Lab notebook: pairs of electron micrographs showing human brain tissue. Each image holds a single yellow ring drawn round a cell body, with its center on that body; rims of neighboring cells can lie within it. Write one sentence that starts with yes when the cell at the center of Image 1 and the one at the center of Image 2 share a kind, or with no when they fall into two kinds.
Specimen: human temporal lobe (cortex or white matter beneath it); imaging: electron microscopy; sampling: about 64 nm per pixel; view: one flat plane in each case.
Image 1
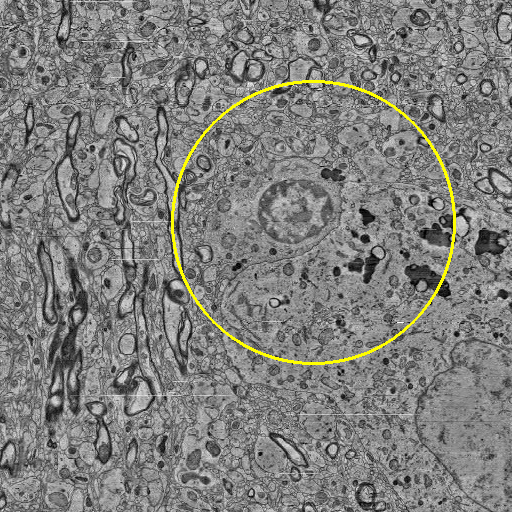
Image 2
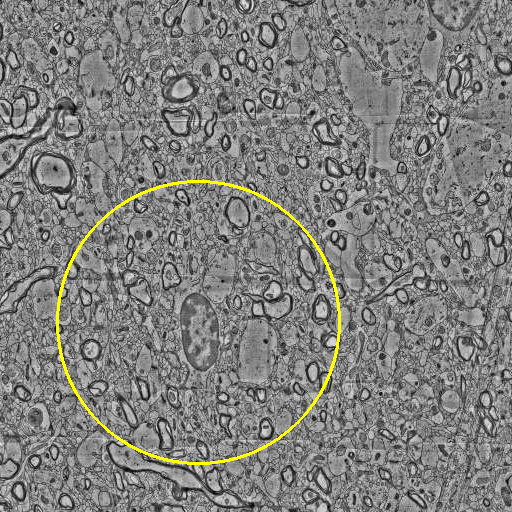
No, the centered cell in Image 1 and the centered cell in Image 2 are of two kinds.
